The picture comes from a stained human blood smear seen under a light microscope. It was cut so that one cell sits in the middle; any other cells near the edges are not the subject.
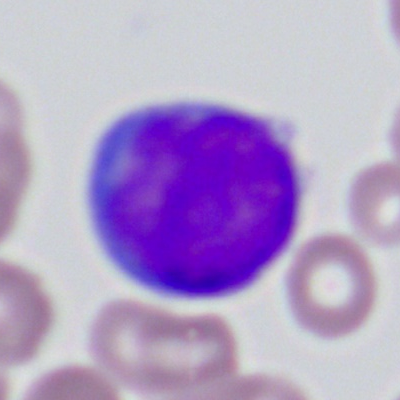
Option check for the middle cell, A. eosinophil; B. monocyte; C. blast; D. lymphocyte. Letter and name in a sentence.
Here the central cell is a blast, and option C is correct.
